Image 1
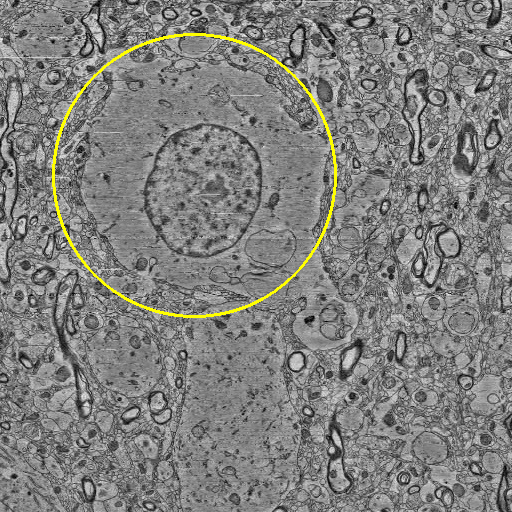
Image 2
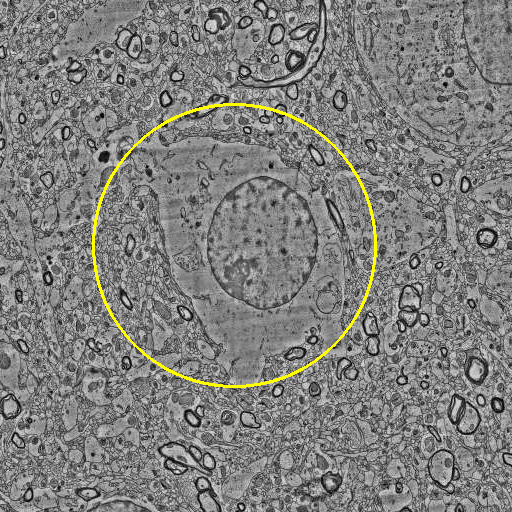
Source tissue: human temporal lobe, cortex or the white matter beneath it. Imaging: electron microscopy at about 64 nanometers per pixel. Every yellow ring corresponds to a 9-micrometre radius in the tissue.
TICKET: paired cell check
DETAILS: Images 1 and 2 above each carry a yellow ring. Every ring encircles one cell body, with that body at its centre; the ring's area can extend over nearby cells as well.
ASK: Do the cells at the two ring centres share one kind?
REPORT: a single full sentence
Yes, the ring-centre cells of Images 1 and 2 belong to a single kind.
